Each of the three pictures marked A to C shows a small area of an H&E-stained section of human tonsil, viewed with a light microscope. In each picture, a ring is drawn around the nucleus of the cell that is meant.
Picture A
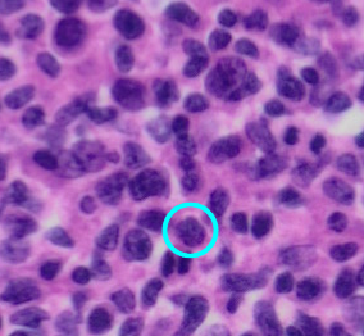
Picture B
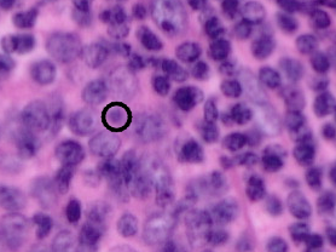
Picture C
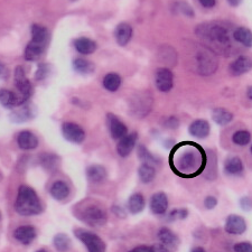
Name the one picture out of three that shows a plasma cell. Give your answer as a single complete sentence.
The cell in picture C is the plasma cell.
